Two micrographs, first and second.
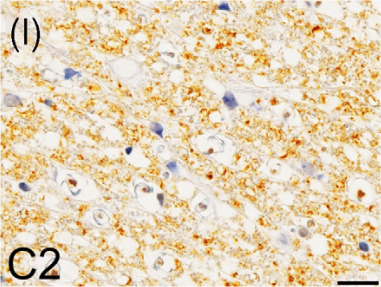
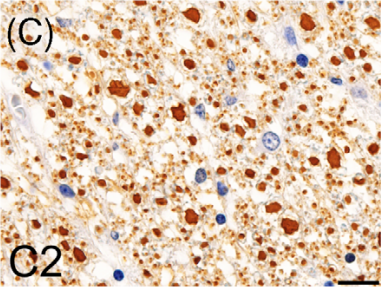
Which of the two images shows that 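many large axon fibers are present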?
The second image.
